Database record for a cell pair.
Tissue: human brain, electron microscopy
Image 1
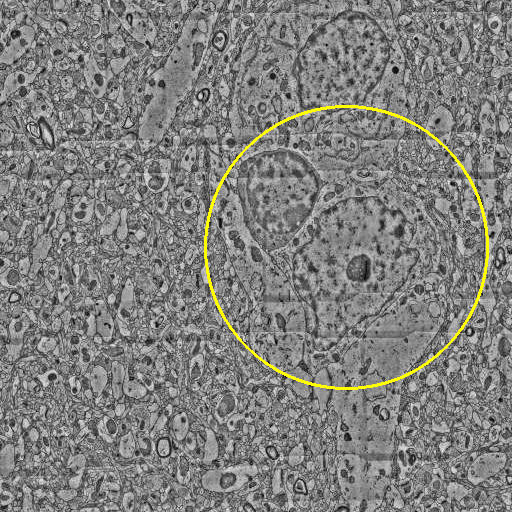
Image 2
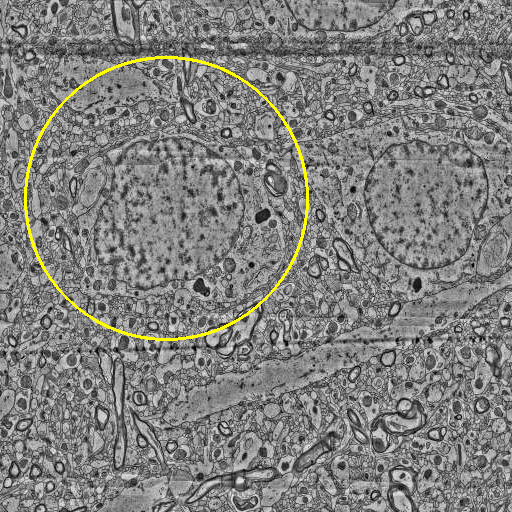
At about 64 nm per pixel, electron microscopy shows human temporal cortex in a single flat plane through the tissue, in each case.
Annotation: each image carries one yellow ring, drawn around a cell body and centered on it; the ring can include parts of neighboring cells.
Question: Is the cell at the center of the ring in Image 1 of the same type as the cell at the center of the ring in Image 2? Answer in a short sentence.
Yes, the cells are of the same type.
